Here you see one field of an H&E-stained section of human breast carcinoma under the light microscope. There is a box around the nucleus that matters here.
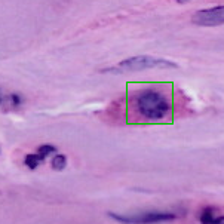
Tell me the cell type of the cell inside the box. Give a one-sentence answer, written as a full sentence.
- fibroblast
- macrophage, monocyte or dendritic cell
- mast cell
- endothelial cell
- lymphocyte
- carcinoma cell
What the cell inside the box represents is a mast cell.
